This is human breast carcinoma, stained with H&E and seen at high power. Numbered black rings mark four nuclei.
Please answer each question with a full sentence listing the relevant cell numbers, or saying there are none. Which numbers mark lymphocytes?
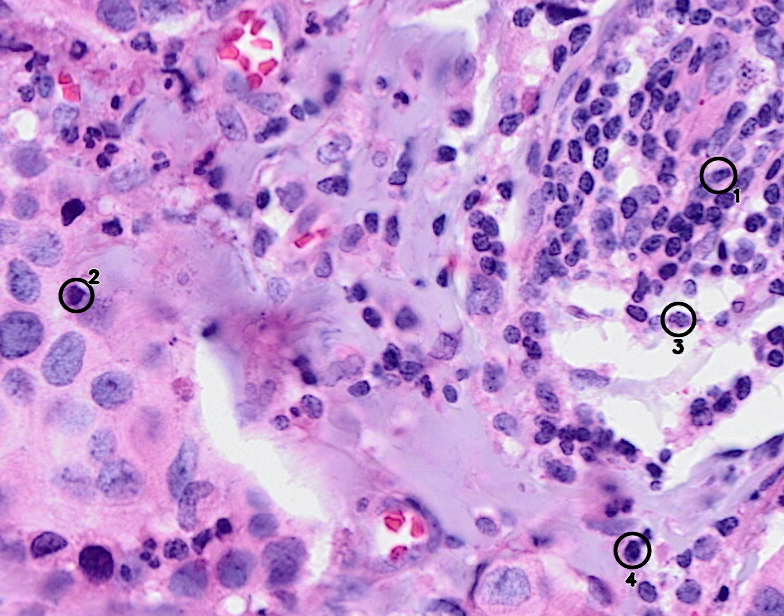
Into the category of lymphocytes fall the cells numbered 1, 3 and 4.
